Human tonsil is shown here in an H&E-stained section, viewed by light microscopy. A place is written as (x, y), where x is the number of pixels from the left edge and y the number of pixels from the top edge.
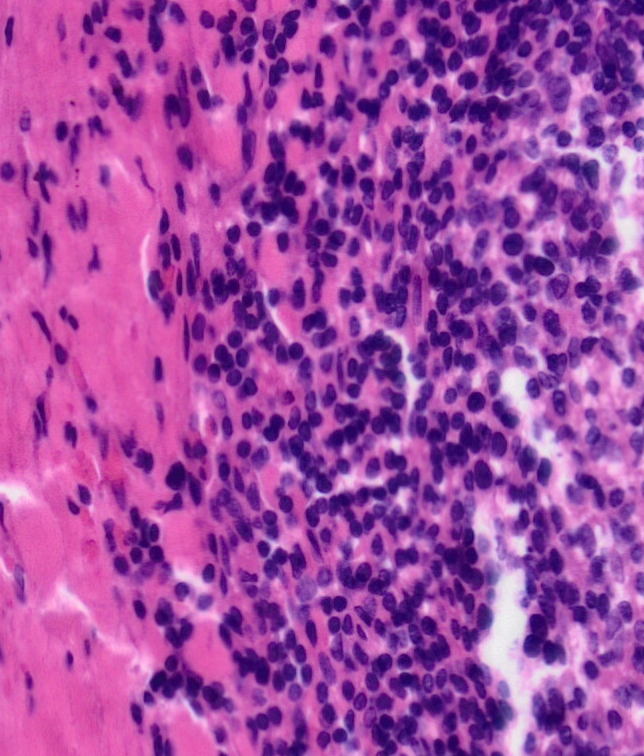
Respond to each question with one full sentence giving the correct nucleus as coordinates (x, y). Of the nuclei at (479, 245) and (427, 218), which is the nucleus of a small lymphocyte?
Of the two nuclei, it is the one at (427, 218) that lies within a small lymphocyte.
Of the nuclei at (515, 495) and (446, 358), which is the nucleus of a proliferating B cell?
It is the nucleus at (515, 495) that forms part of a proliferating B cell.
